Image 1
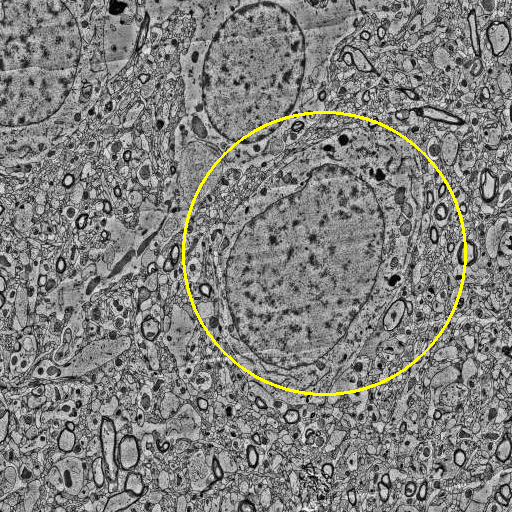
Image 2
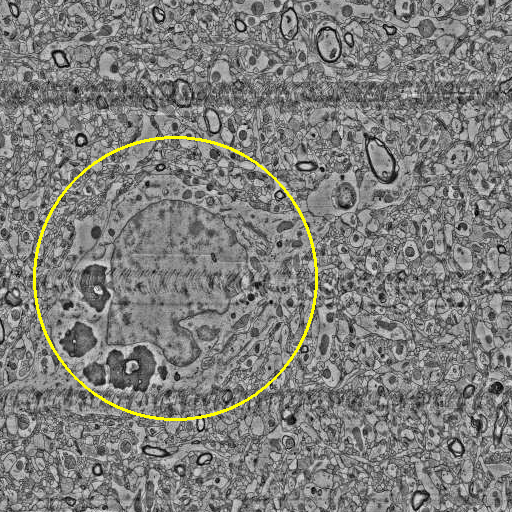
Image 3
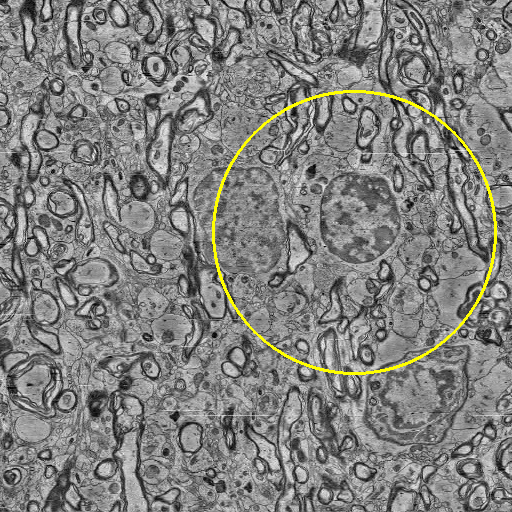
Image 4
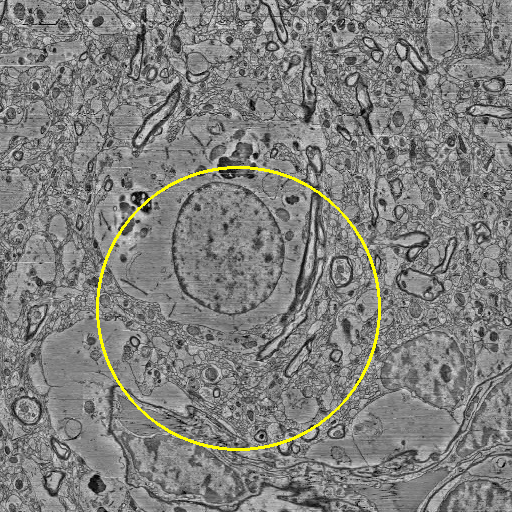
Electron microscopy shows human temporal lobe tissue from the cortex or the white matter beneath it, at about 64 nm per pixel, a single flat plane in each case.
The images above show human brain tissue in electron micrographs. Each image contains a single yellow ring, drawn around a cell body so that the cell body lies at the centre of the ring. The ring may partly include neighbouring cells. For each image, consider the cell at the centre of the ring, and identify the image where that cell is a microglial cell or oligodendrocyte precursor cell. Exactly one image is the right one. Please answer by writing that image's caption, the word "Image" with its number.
Image 3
